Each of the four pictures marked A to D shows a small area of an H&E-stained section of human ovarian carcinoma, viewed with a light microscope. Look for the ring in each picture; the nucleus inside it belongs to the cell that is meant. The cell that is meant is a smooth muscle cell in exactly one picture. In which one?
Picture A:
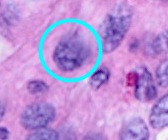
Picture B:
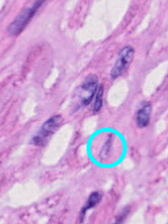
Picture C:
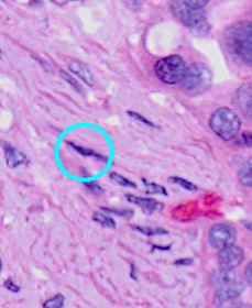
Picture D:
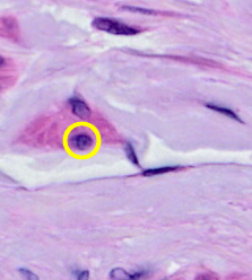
D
